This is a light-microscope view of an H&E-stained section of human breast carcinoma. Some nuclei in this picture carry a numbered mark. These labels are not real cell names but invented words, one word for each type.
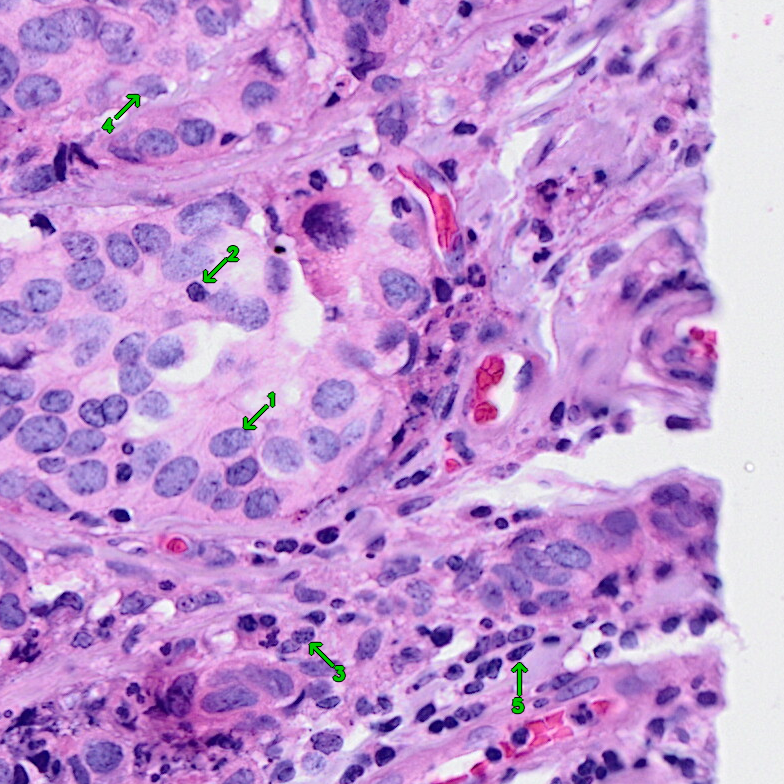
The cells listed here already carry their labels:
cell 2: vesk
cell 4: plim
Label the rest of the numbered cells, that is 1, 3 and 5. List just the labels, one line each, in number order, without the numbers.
plim
vesk
vesk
